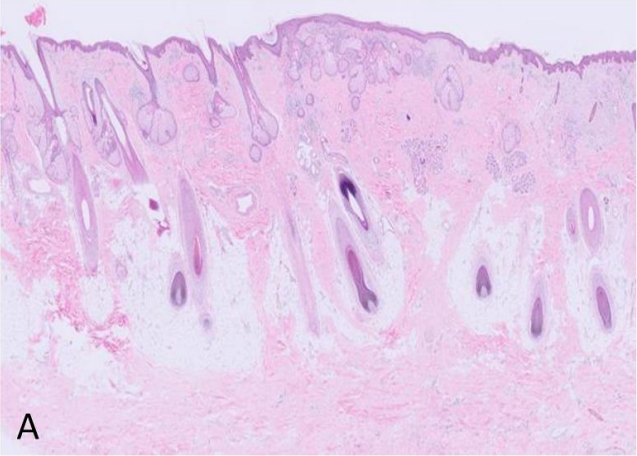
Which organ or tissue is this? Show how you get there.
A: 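Hair‐bearing skin. An epidermis lines the top edge. Many hair follicles with hair shafts run down through the dermis.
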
